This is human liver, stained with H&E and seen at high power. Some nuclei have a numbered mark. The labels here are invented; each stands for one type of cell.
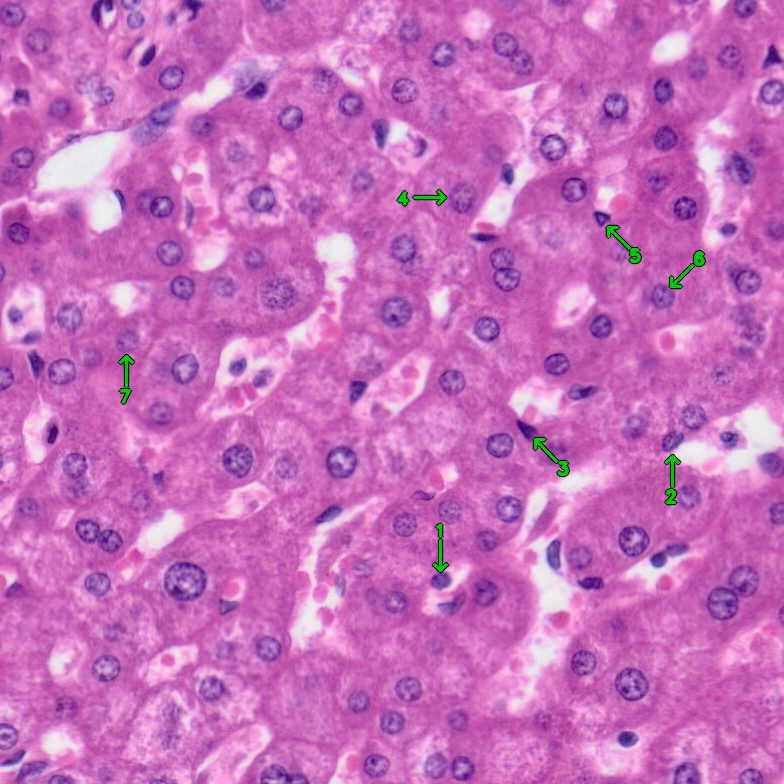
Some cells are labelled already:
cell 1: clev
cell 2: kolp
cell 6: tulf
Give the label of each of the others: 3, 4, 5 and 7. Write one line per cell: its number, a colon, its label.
3: kolp
4: tulf
5: kolp
7: tulf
